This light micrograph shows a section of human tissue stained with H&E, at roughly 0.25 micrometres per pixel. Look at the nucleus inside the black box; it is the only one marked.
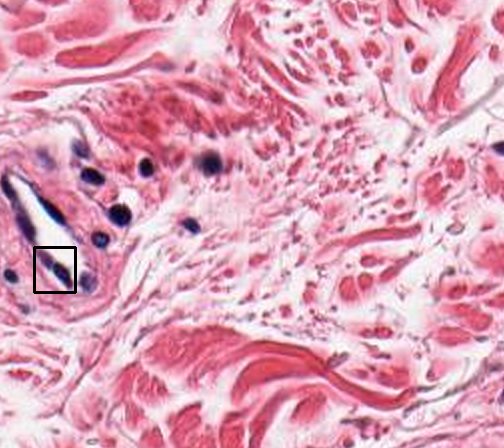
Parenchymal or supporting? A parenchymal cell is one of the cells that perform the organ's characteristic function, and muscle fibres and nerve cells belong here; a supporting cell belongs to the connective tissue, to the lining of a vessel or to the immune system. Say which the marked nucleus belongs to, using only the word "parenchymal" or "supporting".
supporting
